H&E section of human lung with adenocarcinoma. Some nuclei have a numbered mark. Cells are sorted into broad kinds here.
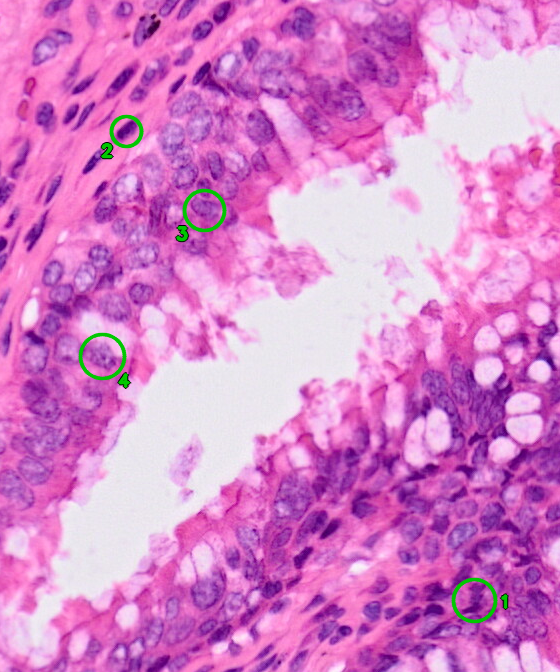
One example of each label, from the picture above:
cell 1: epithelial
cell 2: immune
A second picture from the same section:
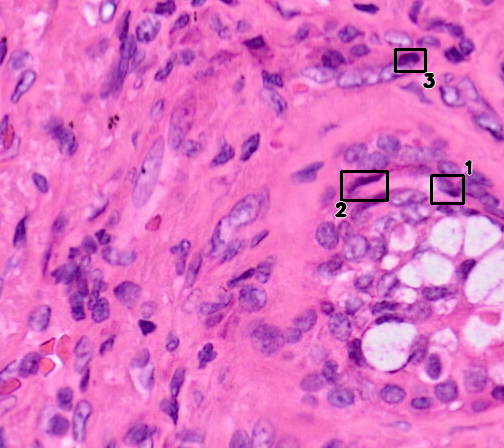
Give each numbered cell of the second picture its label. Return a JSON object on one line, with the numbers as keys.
{"1": "epithelial", "2": "epithelial", "3": "immune"}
